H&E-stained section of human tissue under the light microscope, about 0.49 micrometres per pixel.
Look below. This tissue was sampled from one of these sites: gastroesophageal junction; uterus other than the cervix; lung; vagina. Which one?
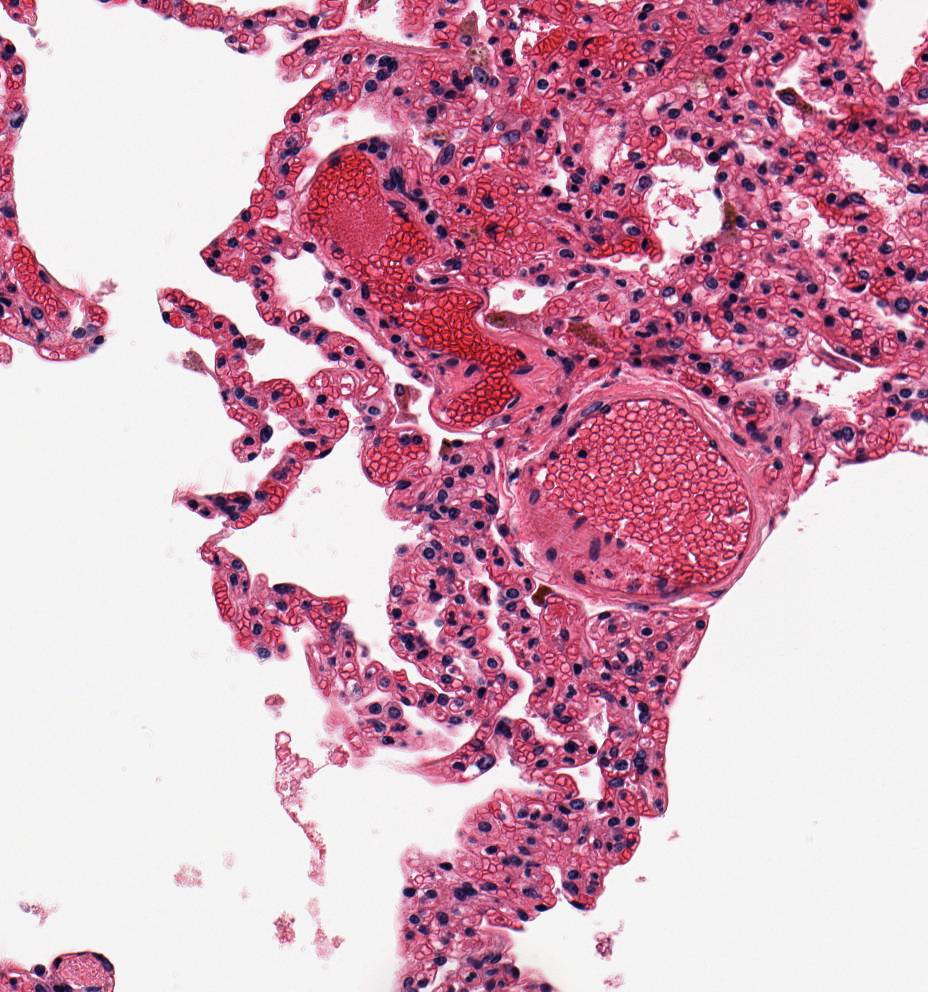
lung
